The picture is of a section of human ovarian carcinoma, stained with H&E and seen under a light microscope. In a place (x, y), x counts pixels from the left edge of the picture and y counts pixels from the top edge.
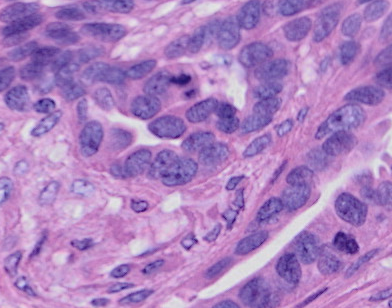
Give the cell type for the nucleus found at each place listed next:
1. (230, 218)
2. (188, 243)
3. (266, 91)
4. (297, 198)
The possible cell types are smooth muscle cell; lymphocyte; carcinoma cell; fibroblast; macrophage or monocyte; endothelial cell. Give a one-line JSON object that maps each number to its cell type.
{"1": "fibroblast", "2": "fibroblast", "3": "carcinoma cell", "4": "carcinoma cell"}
